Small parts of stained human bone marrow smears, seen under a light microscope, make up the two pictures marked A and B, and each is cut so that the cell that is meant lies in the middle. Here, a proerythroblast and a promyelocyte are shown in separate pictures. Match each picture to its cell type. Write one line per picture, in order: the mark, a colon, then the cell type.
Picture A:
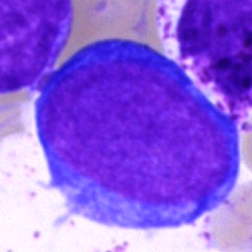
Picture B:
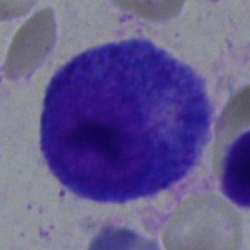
A: proerythroblast
B: promyelocyte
